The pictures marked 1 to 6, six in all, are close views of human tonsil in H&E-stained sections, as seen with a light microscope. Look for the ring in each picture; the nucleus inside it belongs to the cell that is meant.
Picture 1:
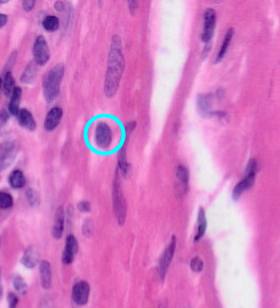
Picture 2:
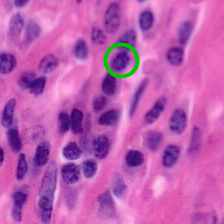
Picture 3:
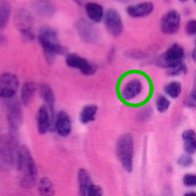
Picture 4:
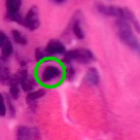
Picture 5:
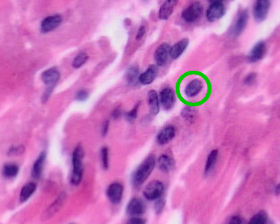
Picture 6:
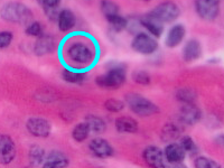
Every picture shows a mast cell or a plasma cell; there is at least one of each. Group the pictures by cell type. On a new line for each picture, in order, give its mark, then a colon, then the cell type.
1: mast cell
2: plasma cell
3: mast cell
4: plasma cell
5: mast cell
6: plasma cell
